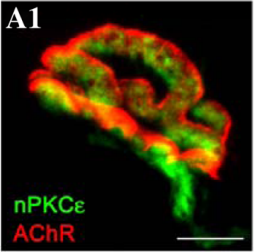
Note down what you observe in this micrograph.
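A neuromuscular junction seen en face as a pretzel-like array of curved branches. Green-filled nerve terminal branches lie within red-rimmed synaptic gutters, and a green axon runs off the junction toward the lower part of the field.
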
